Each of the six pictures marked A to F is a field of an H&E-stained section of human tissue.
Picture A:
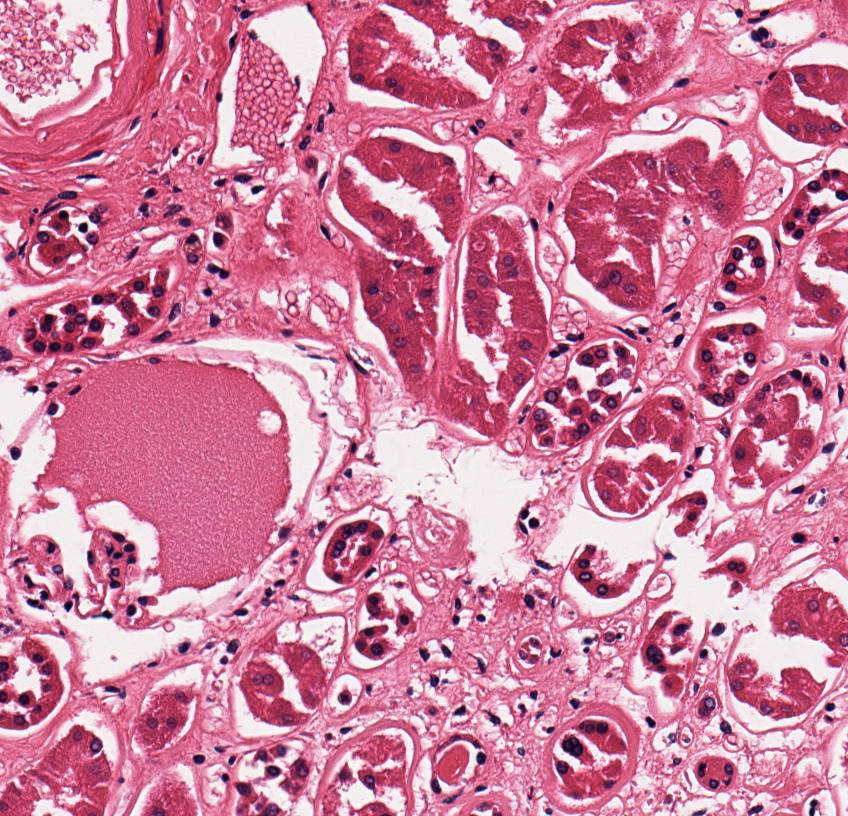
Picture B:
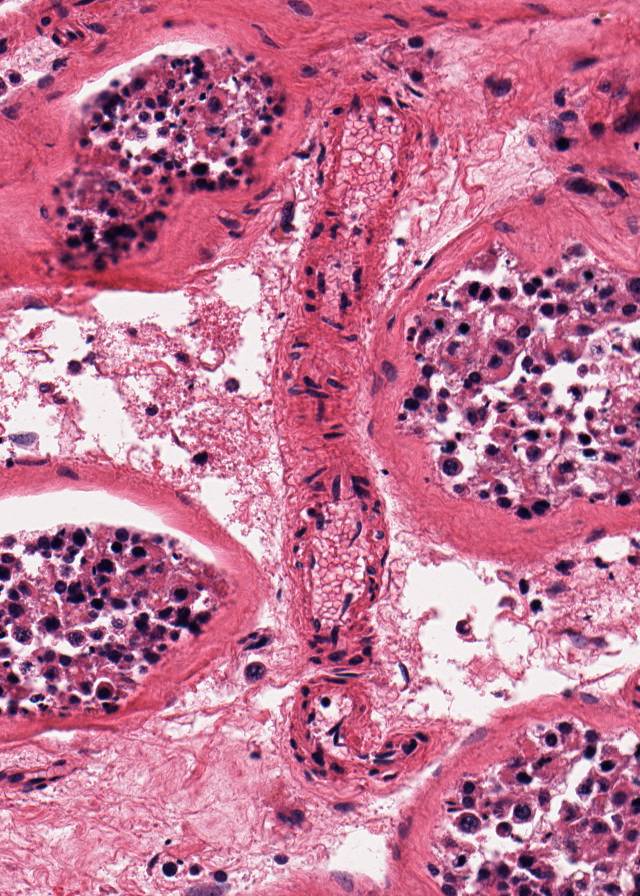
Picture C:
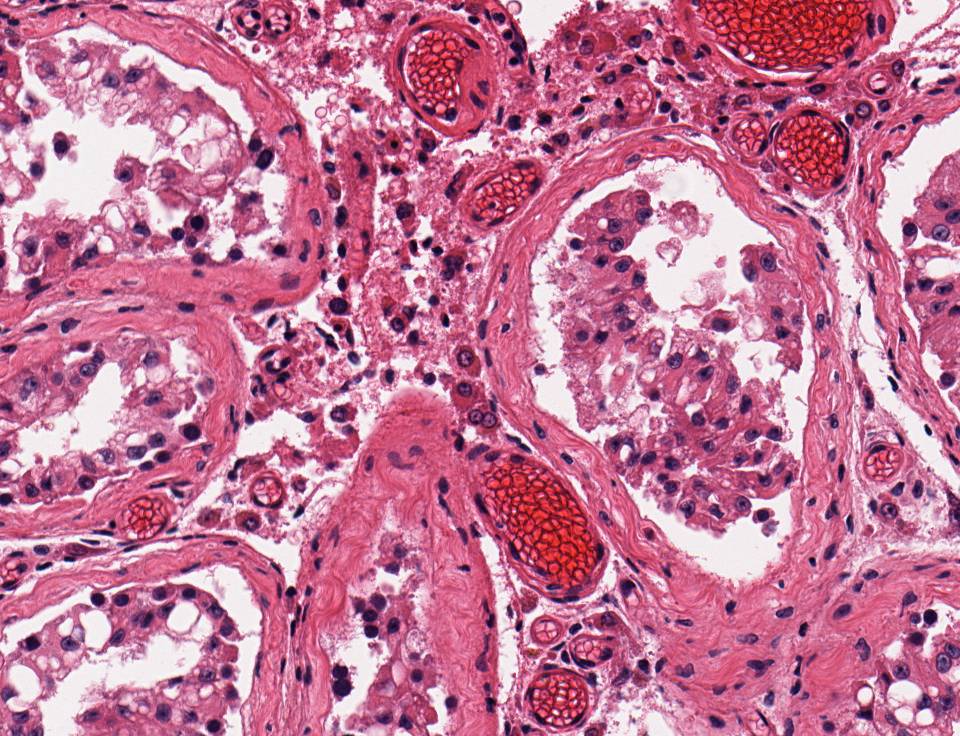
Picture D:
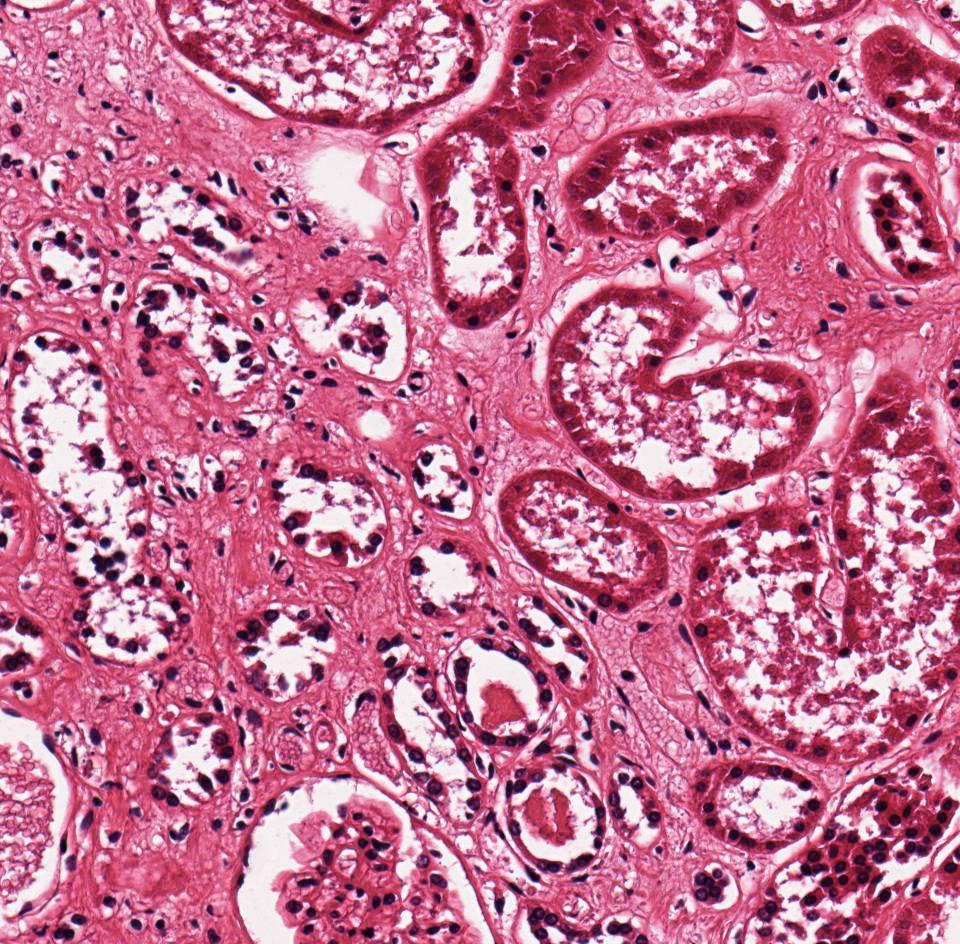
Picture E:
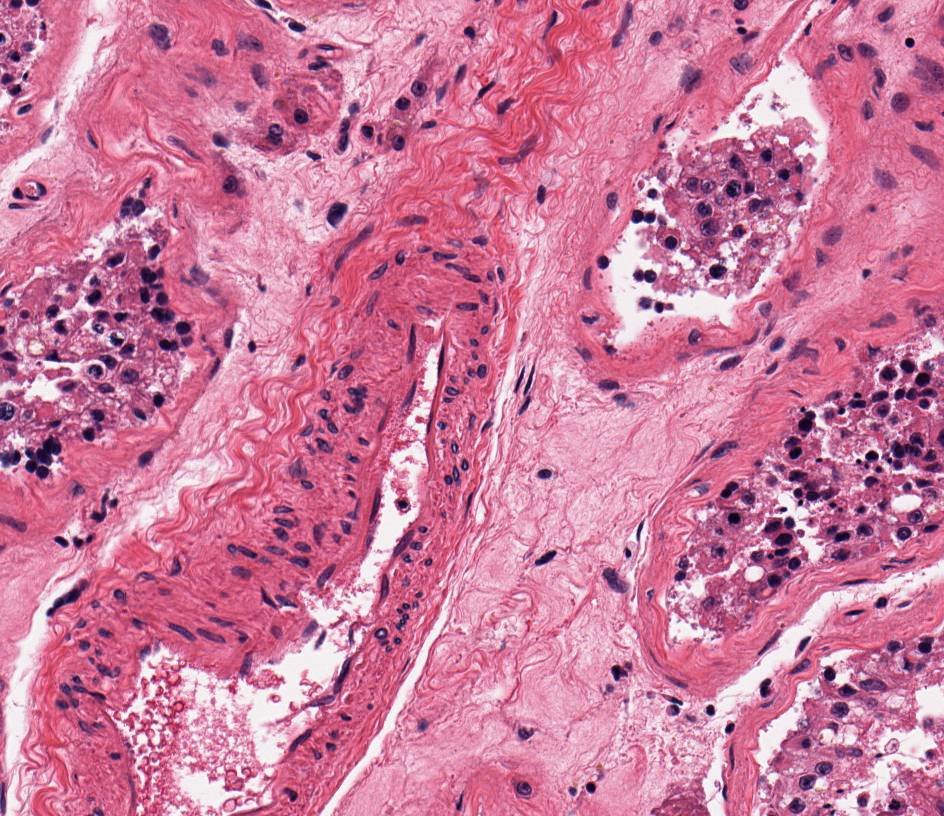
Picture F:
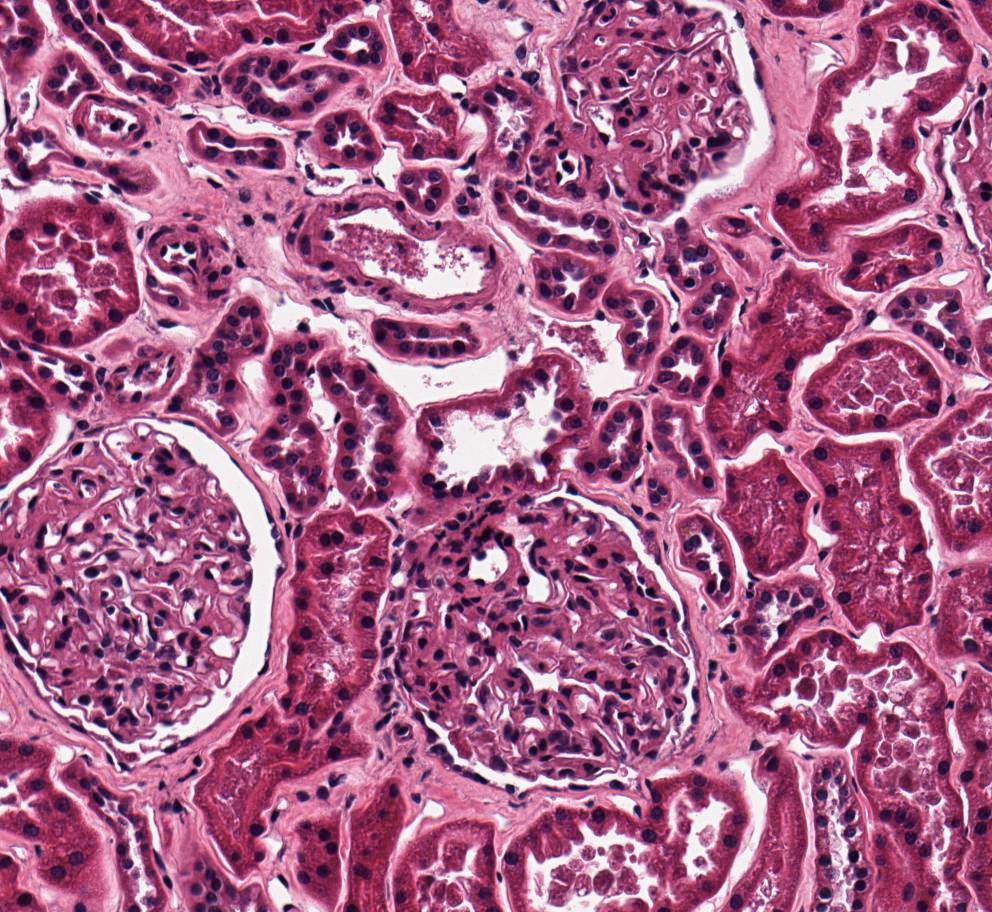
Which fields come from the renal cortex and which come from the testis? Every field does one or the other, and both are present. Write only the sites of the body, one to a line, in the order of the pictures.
renal cortex
testis
testis
renal cortex
testis
renal cortex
